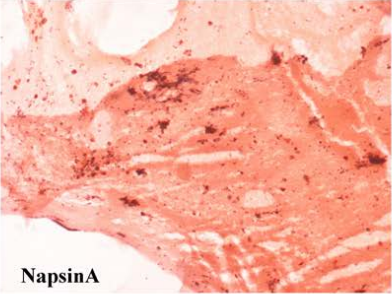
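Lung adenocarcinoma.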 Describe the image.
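Clumps and scattered groups of tumor cells stained dark brown lie within a streaked pink-orange background of amorphous material. The brown-stained cells form small irregular aggregates rather than an organised tissue pattern.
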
